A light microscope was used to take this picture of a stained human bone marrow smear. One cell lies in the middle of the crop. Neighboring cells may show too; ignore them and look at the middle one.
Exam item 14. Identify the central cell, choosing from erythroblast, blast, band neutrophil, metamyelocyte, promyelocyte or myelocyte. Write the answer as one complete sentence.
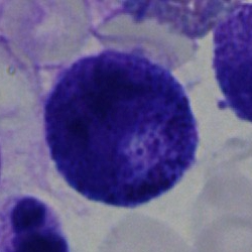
The cell sitting right in the middle is a promyelocyte.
